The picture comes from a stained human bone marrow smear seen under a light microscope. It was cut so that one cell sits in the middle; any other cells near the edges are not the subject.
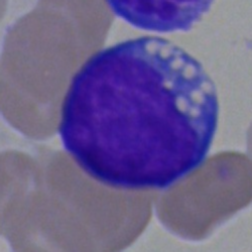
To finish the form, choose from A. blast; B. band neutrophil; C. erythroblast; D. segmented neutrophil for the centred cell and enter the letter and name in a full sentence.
For this crop, option A is right, the centered cell being a blast.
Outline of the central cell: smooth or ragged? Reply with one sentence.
No projections interrupt the outline; it is smooth all the way round.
